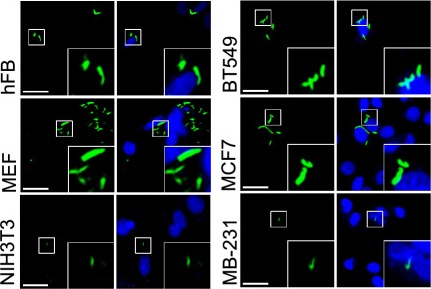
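Rather than filling the cytoplasm evenly, the green signal gathers into a few bright elongated rods and threads per cell, some straight, some bent or branched. They sit in the cytoplasm, often close beside the blue nucleus. In some cells there are only one or two short rods, in others several longer ones.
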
